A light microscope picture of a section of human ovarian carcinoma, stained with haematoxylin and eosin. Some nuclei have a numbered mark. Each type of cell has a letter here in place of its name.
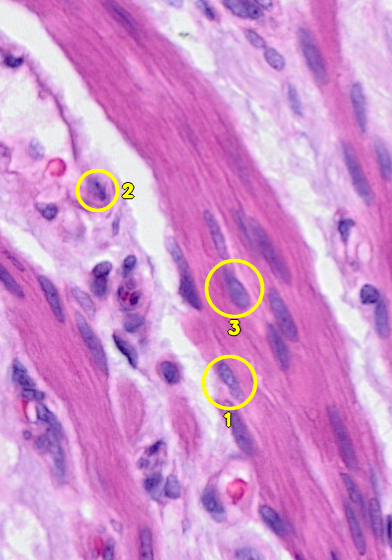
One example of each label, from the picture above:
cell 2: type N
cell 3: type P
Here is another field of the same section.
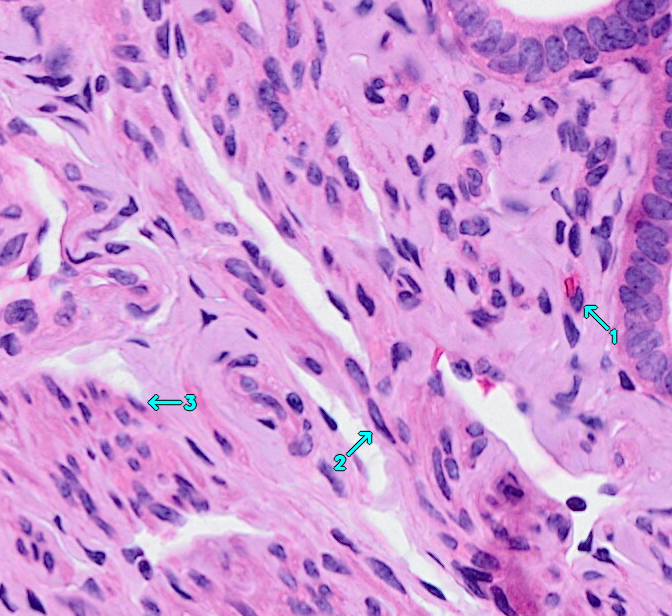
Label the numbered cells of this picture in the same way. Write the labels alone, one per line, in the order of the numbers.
type N
type P
type P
